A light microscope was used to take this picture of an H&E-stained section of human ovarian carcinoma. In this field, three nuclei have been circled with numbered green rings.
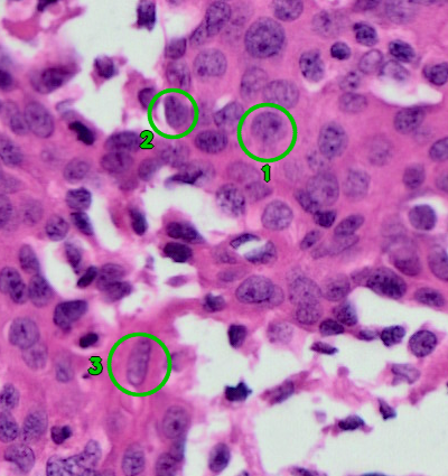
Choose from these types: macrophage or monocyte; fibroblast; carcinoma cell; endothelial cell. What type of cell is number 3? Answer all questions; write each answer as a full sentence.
The marked cell bearing number 3 is an endothelial cell.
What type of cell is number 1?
Marked with the number 1, this cell is a carcinoma cell.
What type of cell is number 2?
Cell 2 should be recorded as a carcinoma cell.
